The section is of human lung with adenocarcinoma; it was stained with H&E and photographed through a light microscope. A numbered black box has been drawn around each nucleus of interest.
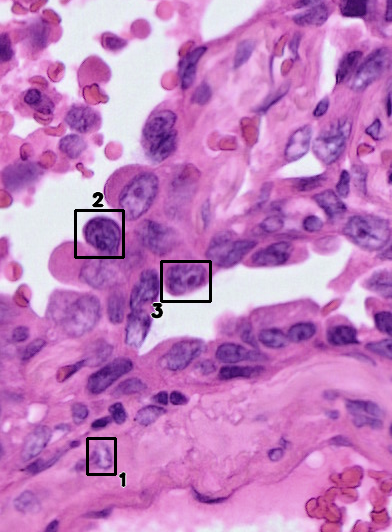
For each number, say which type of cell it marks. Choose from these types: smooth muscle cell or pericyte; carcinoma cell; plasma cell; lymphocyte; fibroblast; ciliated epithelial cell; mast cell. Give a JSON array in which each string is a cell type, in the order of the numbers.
["fibroblast", "carcinoma cell", "carcinoma cell"]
